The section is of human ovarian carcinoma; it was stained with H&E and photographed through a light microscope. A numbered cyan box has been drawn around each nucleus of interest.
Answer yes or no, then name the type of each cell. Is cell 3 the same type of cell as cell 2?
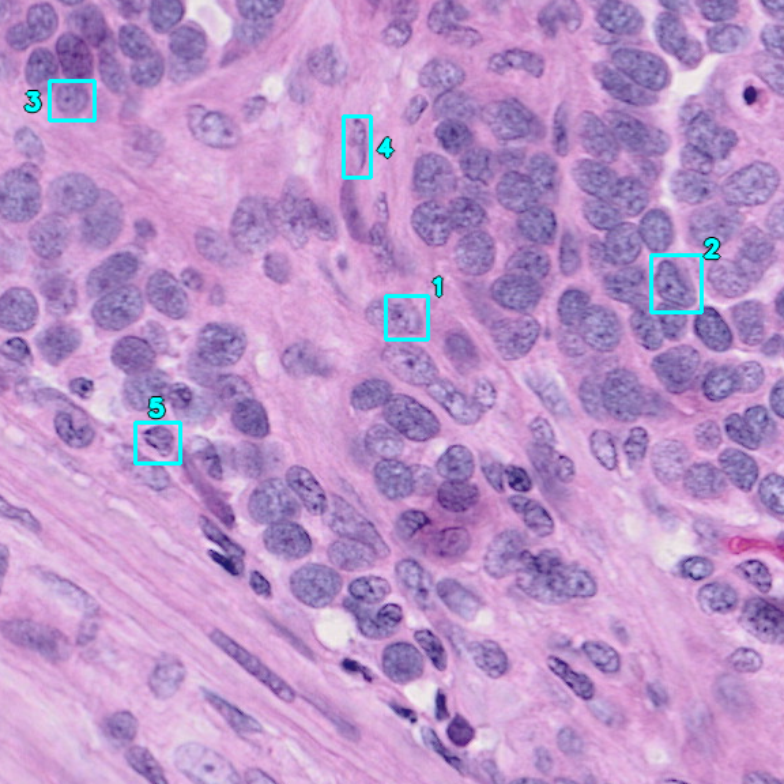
Yes, cells 3 and 2 both fall under carcinoma cells.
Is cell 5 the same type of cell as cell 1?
No, cell 1 is a fibroblast, while cell 5 is a macrophage or monocyte.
